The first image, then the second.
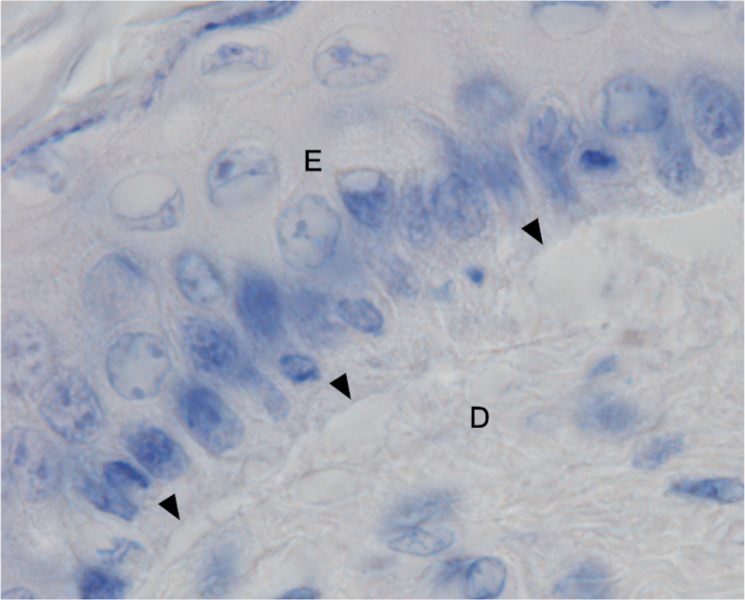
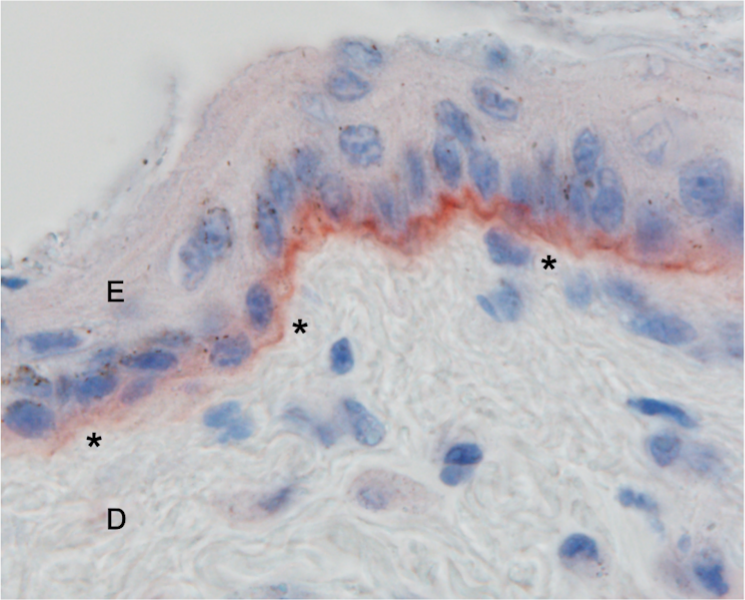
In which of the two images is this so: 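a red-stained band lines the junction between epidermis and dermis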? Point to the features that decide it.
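The second image. First image: the junction between the epithelium and the fibrous tissue shows only blue and pale tones, no red band. Second image: a distinct red band runs along the underside of the epithelium.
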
